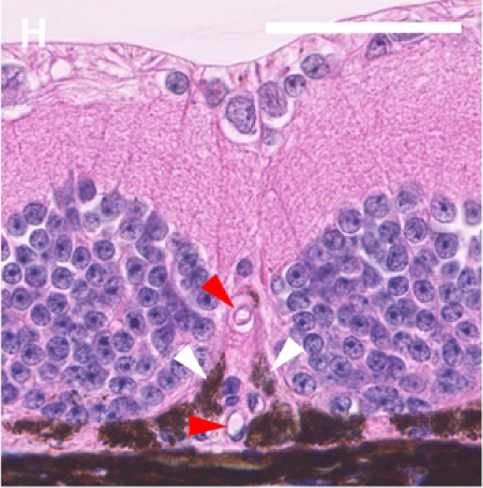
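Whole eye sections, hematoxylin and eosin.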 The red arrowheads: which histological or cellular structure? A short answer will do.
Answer: Neovascular lesions.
